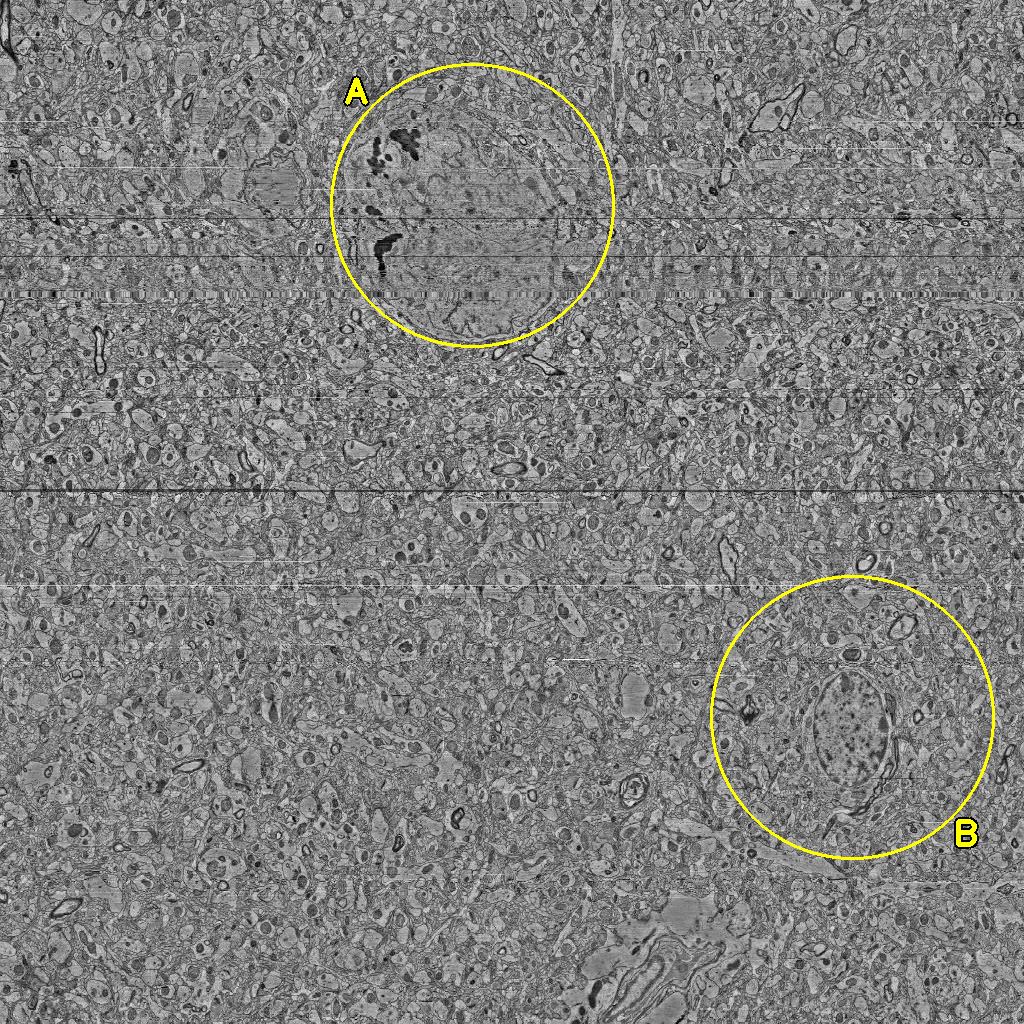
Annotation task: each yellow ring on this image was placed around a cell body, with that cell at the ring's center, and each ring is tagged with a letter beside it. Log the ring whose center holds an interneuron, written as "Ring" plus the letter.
Ring A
